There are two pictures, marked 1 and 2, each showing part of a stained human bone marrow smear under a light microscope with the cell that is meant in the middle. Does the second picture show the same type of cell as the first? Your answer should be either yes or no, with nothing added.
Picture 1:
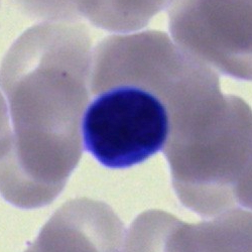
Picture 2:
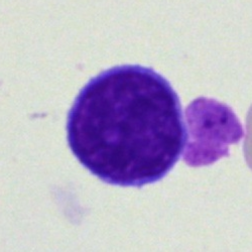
yes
